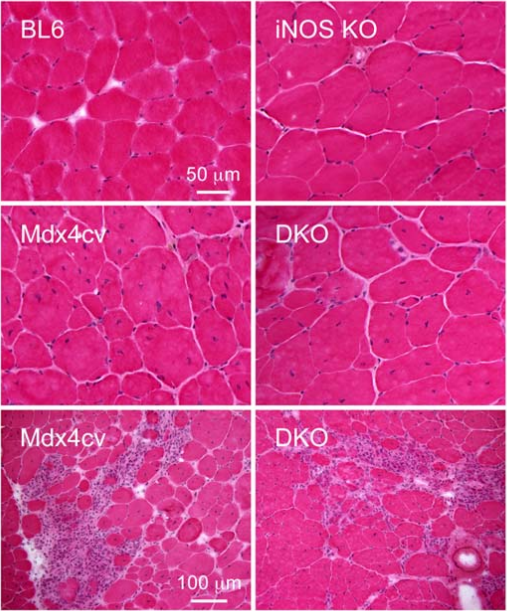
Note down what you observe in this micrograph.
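Skeletal muscle in cross section, pink polygonal myofibers with purple nuclei. In the top images nuclei sit at the fiber edges, just under the membrane, and fibers are closely packed with thin pale borders. In the middle images many fibers carry nuclei in their centers and fiber sizes vary more. The low power images show large patches crowded with small, densely packed purple nuclei between and among fibers, an inflammatory infiltrate, with some smaller and rounded fibers in and near these patches; a vessel appears at one edge.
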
